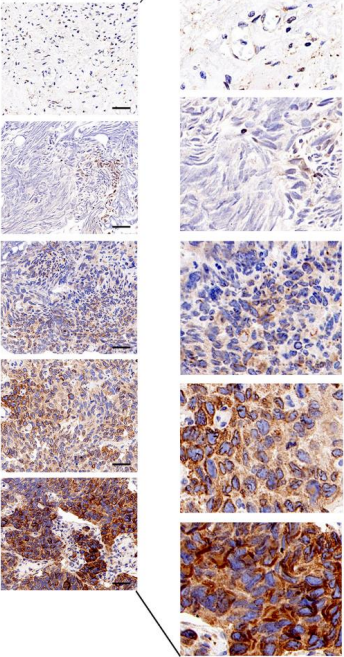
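In the top pair the tissue is loose, with scattered spindle-shaped and small oval nuclei in a pale background and almost no brown colour. Further down, the sections become crowded with larger tumour cells that have bigger, rounder nuclei and lie in dense sheets and nests. The brown stain sits in the cytoplasm and along the cell borders of these tumour cells and grows steadily stronger from row to row.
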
